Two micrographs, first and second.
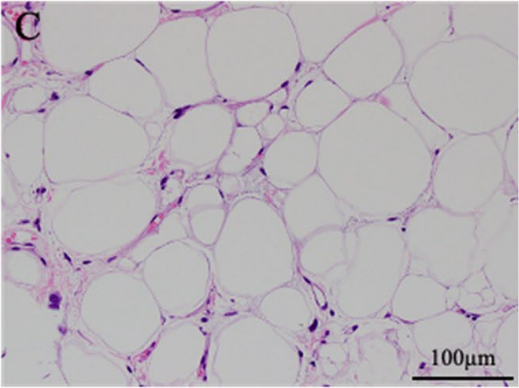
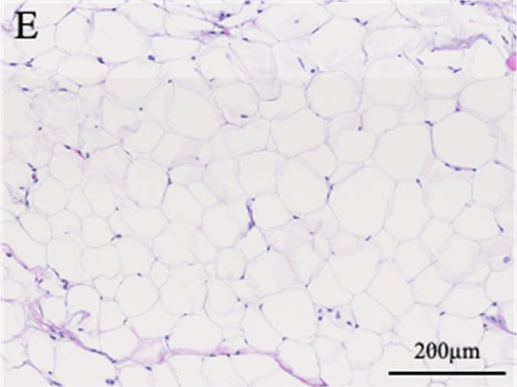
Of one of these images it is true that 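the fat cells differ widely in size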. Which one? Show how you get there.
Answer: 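Second image: the fat cells are fairly uniform in size. First image: very large fat cells lie beside much smaller ones.
The first image.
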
